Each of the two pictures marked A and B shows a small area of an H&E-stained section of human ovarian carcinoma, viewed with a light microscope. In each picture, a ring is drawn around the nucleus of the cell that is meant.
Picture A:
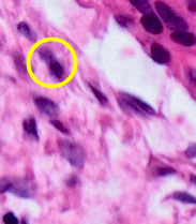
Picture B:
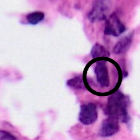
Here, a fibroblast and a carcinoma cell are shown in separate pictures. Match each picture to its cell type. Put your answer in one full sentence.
It is picture A that shows a fibroblast, and picture B that shows a carcinoma cell.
